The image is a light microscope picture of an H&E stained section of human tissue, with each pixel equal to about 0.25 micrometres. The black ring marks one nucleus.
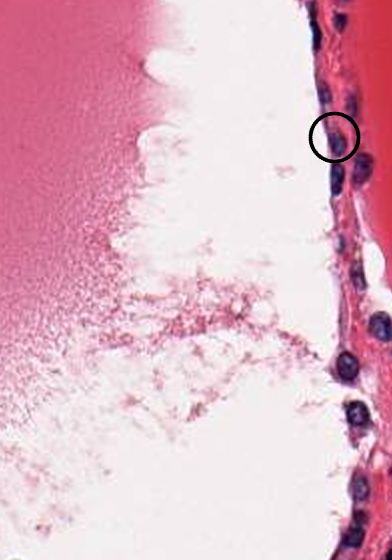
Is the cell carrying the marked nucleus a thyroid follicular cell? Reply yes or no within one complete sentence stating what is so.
Yes, the nucleus pointed to by the marking is that of a thyroid follicular cell.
